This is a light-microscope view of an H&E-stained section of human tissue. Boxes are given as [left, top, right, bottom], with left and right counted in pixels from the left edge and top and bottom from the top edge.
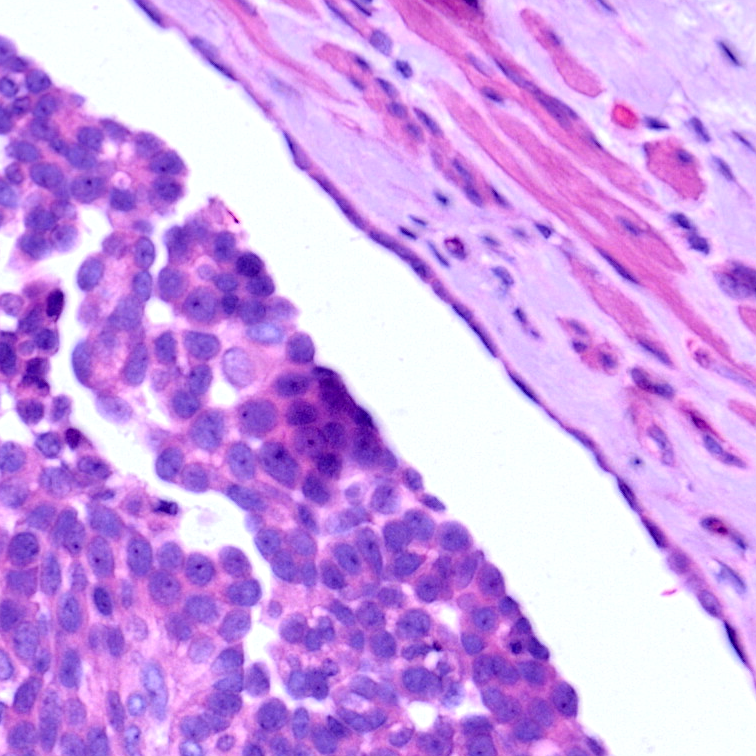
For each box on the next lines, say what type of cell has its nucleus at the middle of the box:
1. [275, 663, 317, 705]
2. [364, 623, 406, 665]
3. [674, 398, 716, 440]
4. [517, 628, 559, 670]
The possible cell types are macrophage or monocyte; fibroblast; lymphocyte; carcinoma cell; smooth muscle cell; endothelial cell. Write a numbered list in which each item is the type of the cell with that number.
1. carcinoma cell
2. carcinoma cell
3. endothelial cell
4. carcinoma cell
